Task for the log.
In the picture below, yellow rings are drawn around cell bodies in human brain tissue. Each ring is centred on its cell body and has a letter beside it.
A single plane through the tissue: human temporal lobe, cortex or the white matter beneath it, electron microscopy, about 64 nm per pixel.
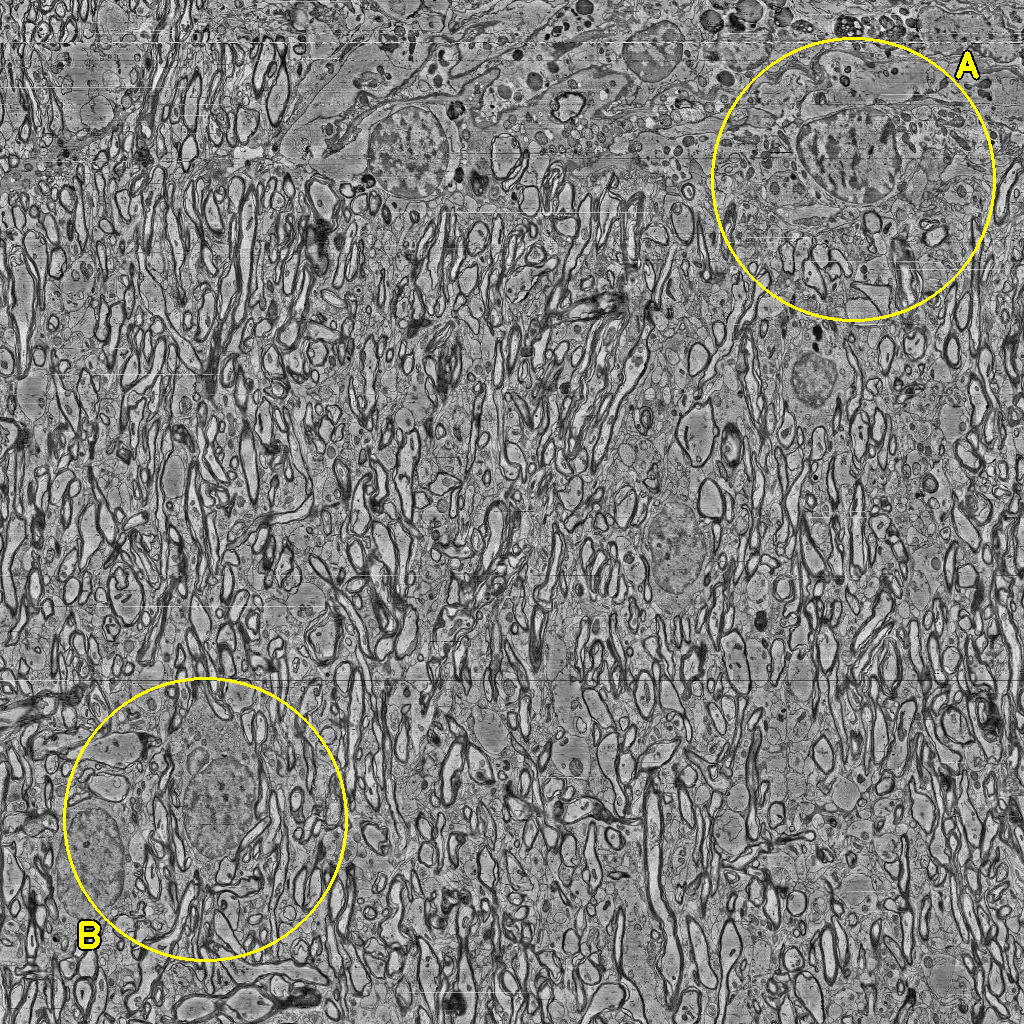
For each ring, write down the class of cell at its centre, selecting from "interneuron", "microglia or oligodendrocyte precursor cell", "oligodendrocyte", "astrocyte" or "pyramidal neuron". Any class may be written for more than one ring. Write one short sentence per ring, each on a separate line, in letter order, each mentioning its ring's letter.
The cell inside ring A, at its centre, is a microglial cell or oligodendrocyte precursor cell.
The cell inside ring B, at its centre, is an oligodendrocyte.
